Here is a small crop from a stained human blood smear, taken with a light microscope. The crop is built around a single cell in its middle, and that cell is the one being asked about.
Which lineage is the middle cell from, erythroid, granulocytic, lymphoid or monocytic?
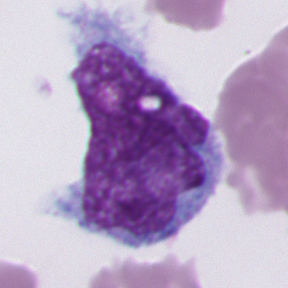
monocytic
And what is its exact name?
monocyte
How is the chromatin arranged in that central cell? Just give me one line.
The chromatin is fine, with no coarse clumping anywhere.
